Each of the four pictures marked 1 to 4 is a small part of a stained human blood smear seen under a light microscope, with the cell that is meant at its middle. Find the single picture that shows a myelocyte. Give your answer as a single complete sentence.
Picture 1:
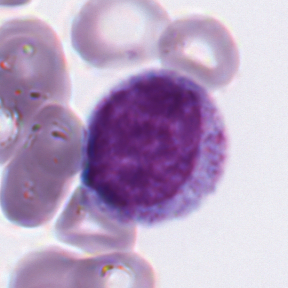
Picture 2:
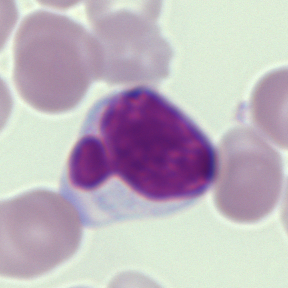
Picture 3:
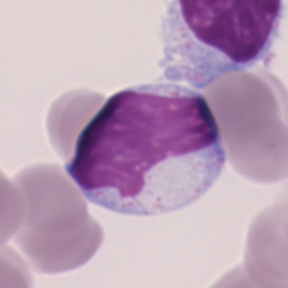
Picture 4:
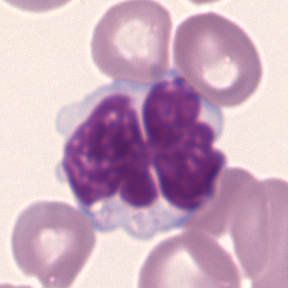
Picture 1 shows the myelocyte.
